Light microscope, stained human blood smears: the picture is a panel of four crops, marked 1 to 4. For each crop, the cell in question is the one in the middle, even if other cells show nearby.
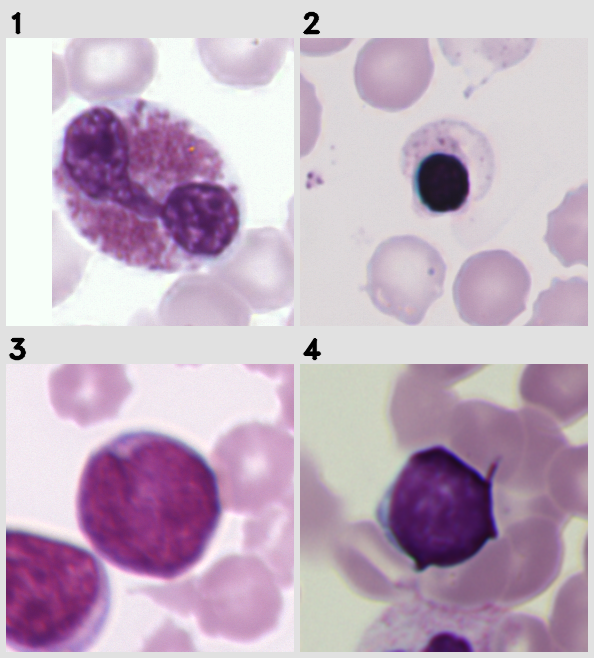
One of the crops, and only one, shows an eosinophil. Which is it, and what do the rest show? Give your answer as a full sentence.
Crop 1 is identified as an eosinophil, while crop 2 is a normoblast, crop 3 is a myeloblast and crop 4 is a typical lymphocyte.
